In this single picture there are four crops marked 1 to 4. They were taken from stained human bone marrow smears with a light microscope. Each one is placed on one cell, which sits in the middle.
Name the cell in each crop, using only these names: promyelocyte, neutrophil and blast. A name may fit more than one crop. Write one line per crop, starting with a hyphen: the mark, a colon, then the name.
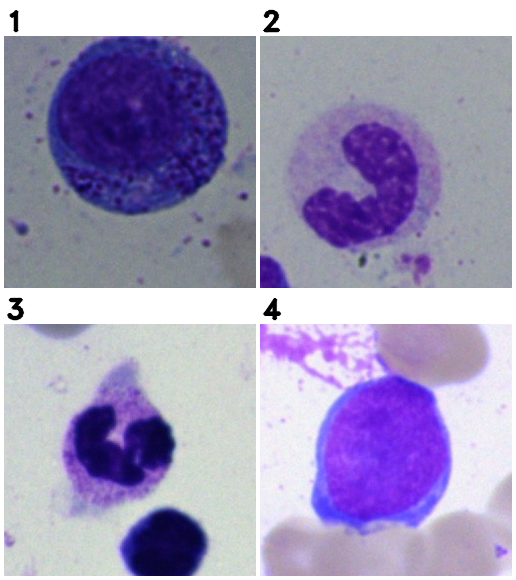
- 1: promyelocyte
- 2: neutrophil
- 3: neutrophil
- 4: blast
